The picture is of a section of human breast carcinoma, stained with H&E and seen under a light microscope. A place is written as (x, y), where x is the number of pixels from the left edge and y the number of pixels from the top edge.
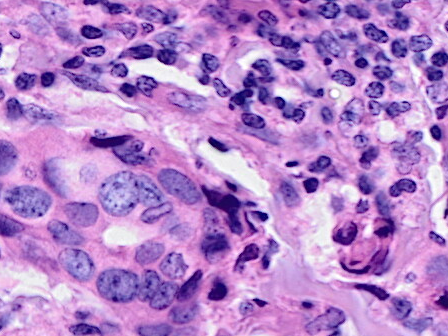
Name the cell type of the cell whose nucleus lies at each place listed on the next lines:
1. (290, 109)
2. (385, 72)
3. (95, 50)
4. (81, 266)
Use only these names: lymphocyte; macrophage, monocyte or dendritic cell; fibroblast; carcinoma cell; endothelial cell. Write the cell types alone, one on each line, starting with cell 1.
lymphocyte
lymphocyte
lymphocyte
carcinoma cell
